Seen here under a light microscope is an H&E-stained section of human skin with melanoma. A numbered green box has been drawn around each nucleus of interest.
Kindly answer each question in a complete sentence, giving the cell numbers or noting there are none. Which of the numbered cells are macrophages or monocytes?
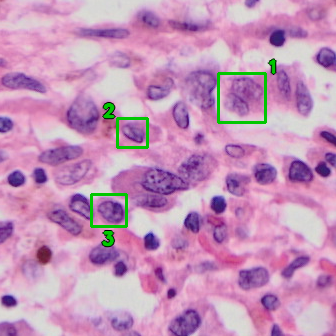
The cells the numbers 2 and 3 point to are macrophages or monocytes.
